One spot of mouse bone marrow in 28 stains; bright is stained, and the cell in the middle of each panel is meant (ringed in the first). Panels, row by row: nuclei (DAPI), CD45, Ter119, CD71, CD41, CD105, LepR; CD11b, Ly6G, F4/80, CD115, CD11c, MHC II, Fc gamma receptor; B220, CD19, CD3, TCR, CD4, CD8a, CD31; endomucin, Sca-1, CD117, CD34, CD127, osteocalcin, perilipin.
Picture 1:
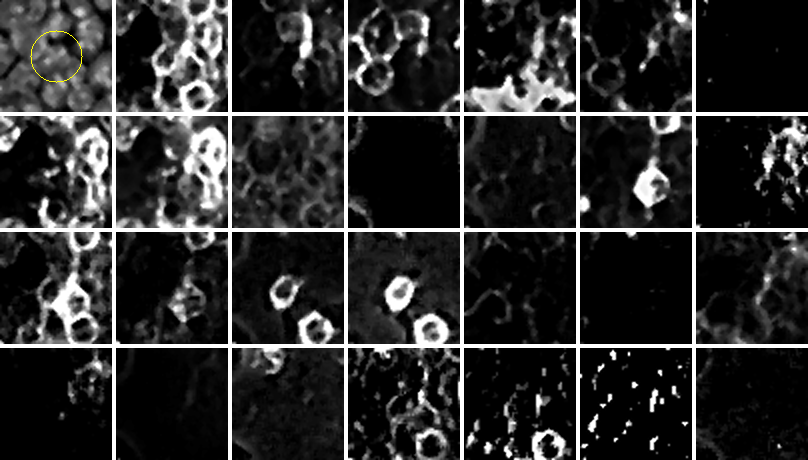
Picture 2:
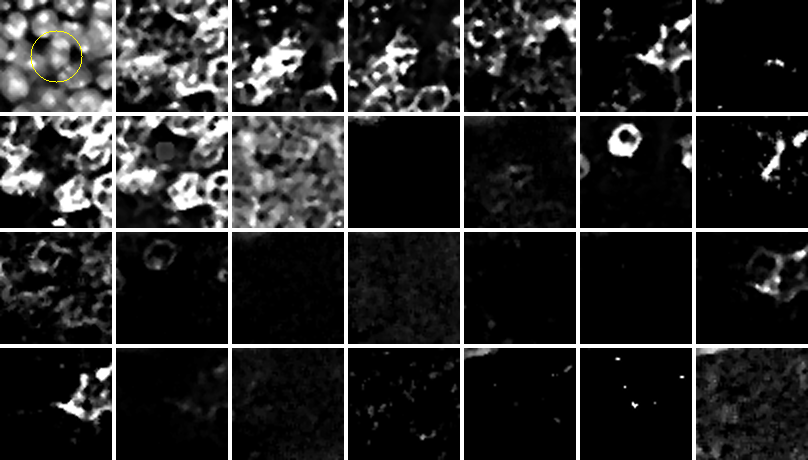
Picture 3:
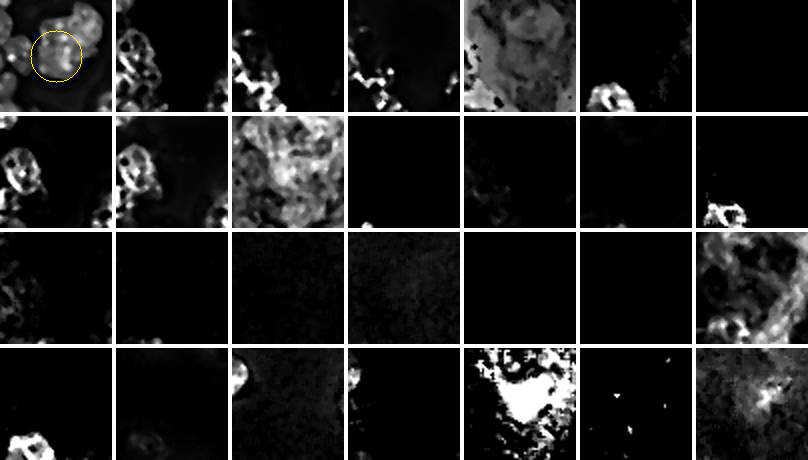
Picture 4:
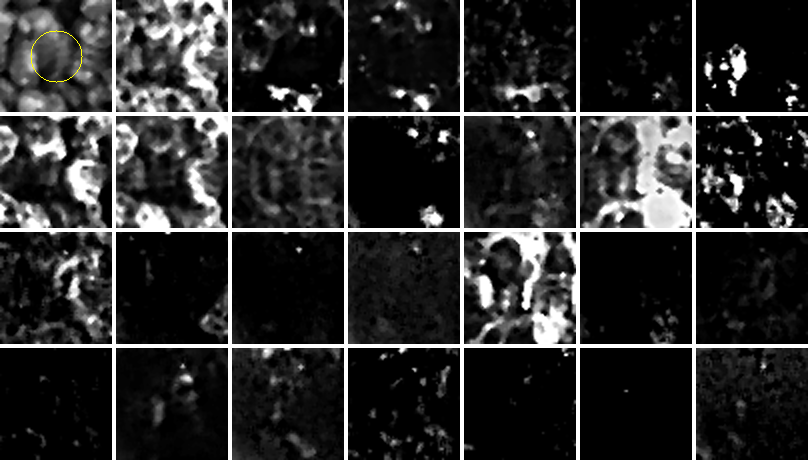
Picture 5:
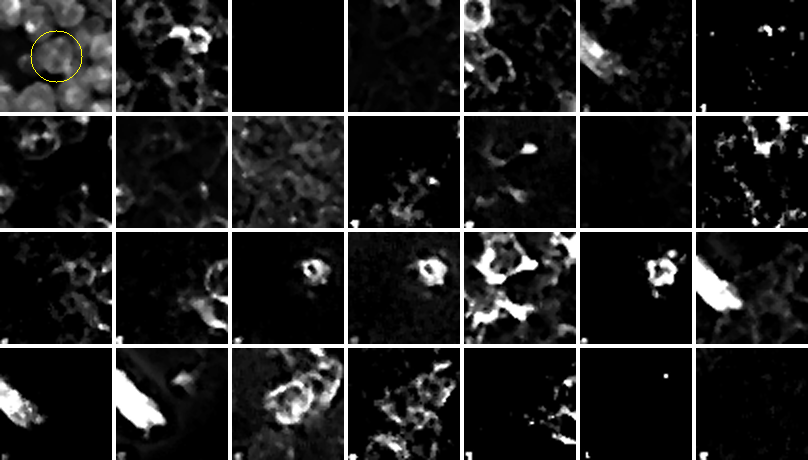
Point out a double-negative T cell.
That is picture 1.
